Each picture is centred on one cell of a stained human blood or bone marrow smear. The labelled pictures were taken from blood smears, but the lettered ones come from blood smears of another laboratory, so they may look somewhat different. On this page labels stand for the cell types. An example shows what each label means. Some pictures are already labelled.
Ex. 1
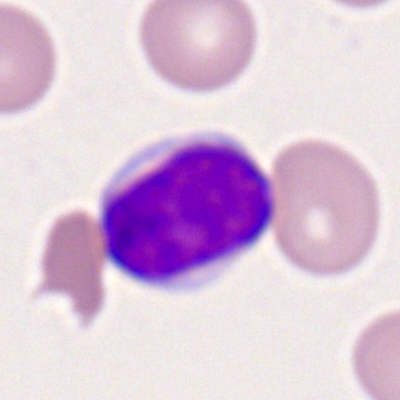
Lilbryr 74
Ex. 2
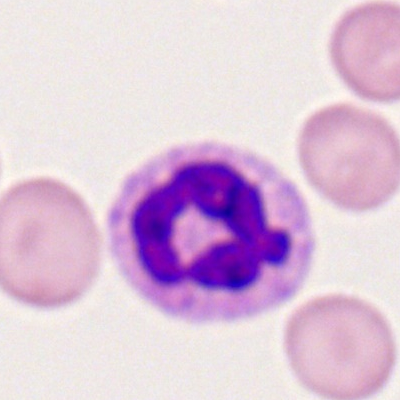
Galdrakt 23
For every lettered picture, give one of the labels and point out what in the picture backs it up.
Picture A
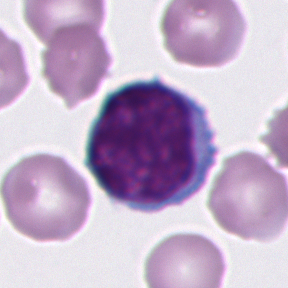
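Label: Lilbryr 74. The cytoplasm is a thin rim that is pale blue.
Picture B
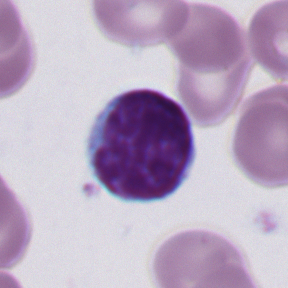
Label: Lilbryr 74. The cytoplasm forms a thin rim that is widest on the left side.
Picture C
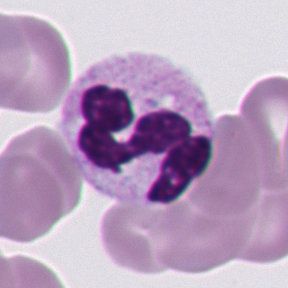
Label: Galdrakt 23. The cytoplasm is abundant and pale pinkish-lilac.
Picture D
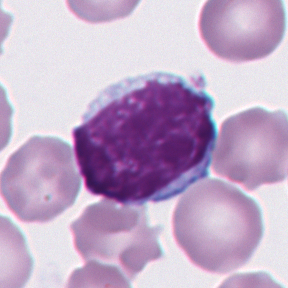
Label: Lilbryr 74. The cytoplasm forms only a thin rim around the nucleus.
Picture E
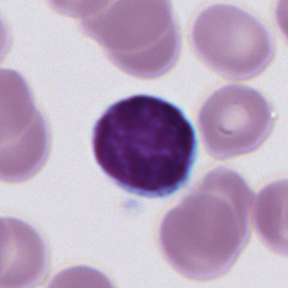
Label: Lilbryr 74. The cytoplasm is a very thin pale blue rim, widest at the lower edge.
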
